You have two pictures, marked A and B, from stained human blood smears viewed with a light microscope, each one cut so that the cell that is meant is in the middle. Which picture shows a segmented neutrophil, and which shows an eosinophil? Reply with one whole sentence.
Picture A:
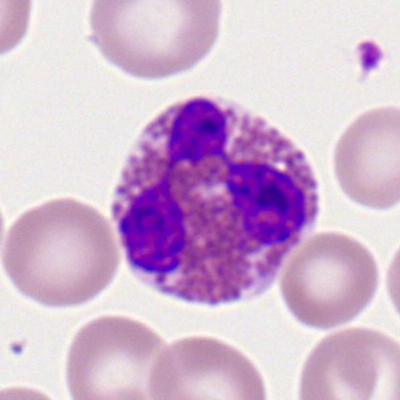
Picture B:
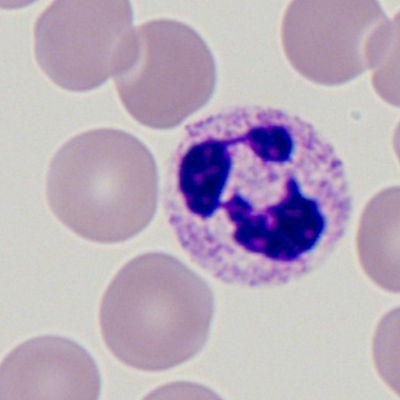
In picture A the cell is an eosinophil; in picture B, a segmented neutrophil.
